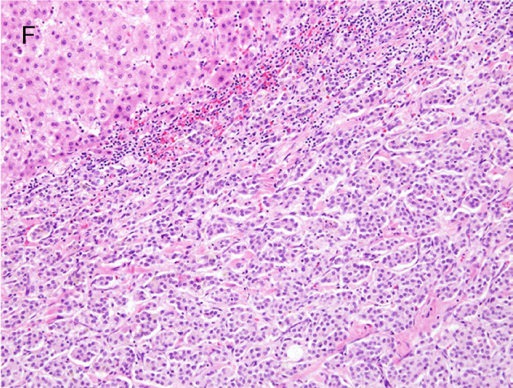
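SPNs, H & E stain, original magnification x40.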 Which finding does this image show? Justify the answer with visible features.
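Large polygonal pink cells in plates occupy the upper part. Sheets of smaller, uniform tumor cells fill the lower part. A band of small dark lymphocytes lies at the interface.
Answer: Liver metastasis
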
